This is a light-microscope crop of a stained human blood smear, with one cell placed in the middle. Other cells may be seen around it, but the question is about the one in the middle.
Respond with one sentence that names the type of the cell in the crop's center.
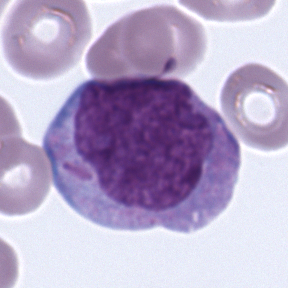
Centred in the crop is an atypical promyelocyte.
